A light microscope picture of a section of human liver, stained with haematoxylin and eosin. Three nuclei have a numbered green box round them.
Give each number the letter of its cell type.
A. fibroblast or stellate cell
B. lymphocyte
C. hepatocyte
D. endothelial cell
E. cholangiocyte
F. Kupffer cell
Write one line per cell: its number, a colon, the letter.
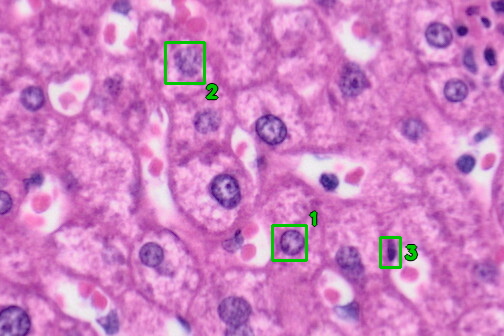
1: C
2: C
3: A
